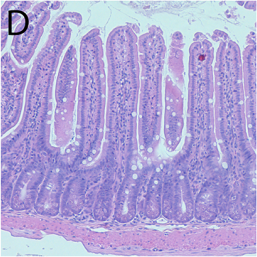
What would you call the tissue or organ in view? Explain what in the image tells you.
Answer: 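Tall finger-like villi project into the lumen. Villi are lined by a single layer of columnar epithelium with clear goblet cells. A thin muscular layer runs along the bottom. The answer: intestine.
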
